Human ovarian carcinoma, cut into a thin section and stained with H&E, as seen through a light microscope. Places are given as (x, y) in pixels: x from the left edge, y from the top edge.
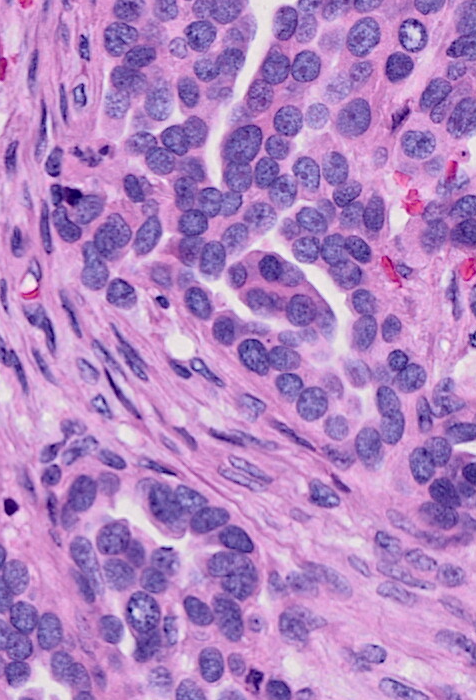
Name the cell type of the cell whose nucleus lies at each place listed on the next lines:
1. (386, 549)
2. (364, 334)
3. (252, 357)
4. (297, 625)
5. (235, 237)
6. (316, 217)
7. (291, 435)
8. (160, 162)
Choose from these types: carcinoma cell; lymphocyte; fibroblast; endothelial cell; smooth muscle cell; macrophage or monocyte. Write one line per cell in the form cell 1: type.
cell 1: fibroblast
cell 2: carcinoma cell
cell 3: carcinoma cell
cell 4: fibroblast
cell 5: carcinoma cell
cell 6: carcinoma cell
cell 7: fibroblast
cell 8: carcinoma cell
